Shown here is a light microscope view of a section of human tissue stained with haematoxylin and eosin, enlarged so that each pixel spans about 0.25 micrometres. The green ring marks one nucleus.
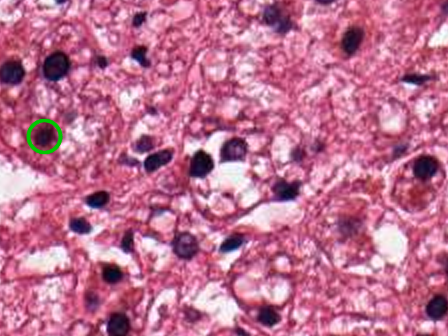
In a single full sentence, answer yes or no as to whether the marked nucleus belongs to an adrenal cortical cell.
Yes, the owner of the marked nucleus is an adrenal cortical cell.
